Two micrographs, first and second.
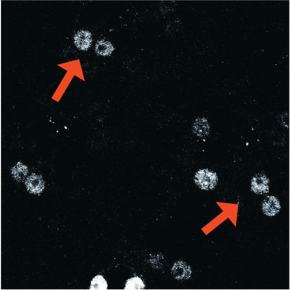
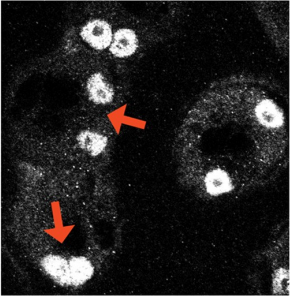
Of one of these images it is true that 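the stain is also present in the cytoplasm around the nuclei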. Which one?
The second image.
